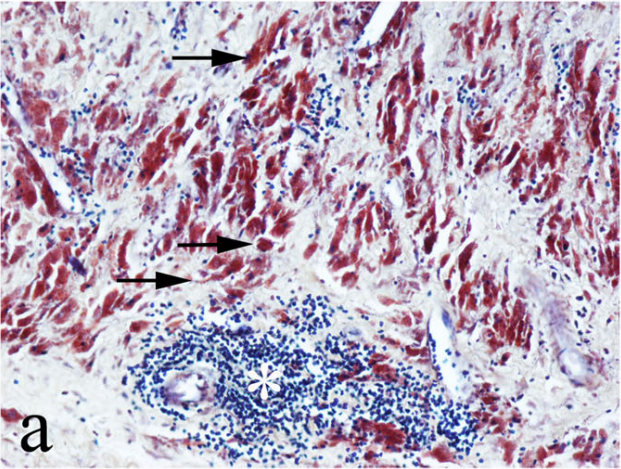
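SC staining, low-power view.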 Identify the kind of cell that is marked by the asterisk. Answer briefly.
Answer: lymphoid cells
